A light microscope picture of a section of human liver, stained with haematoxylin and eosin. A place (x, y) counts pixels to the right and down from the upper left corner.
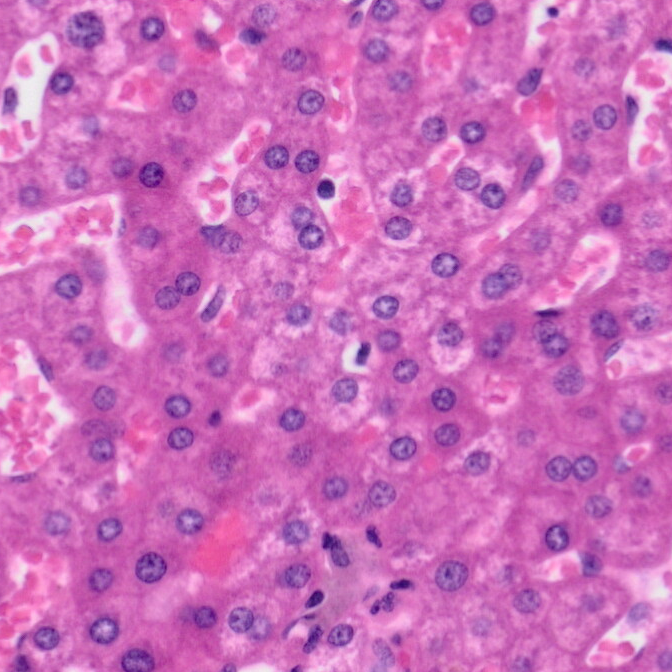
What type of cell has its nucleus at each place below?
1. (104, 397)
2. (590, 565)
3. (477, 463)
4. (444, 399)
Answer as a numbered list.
1. hepatocyte
2. endothelial cell
3. hepatocyte
4. hepatocyte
